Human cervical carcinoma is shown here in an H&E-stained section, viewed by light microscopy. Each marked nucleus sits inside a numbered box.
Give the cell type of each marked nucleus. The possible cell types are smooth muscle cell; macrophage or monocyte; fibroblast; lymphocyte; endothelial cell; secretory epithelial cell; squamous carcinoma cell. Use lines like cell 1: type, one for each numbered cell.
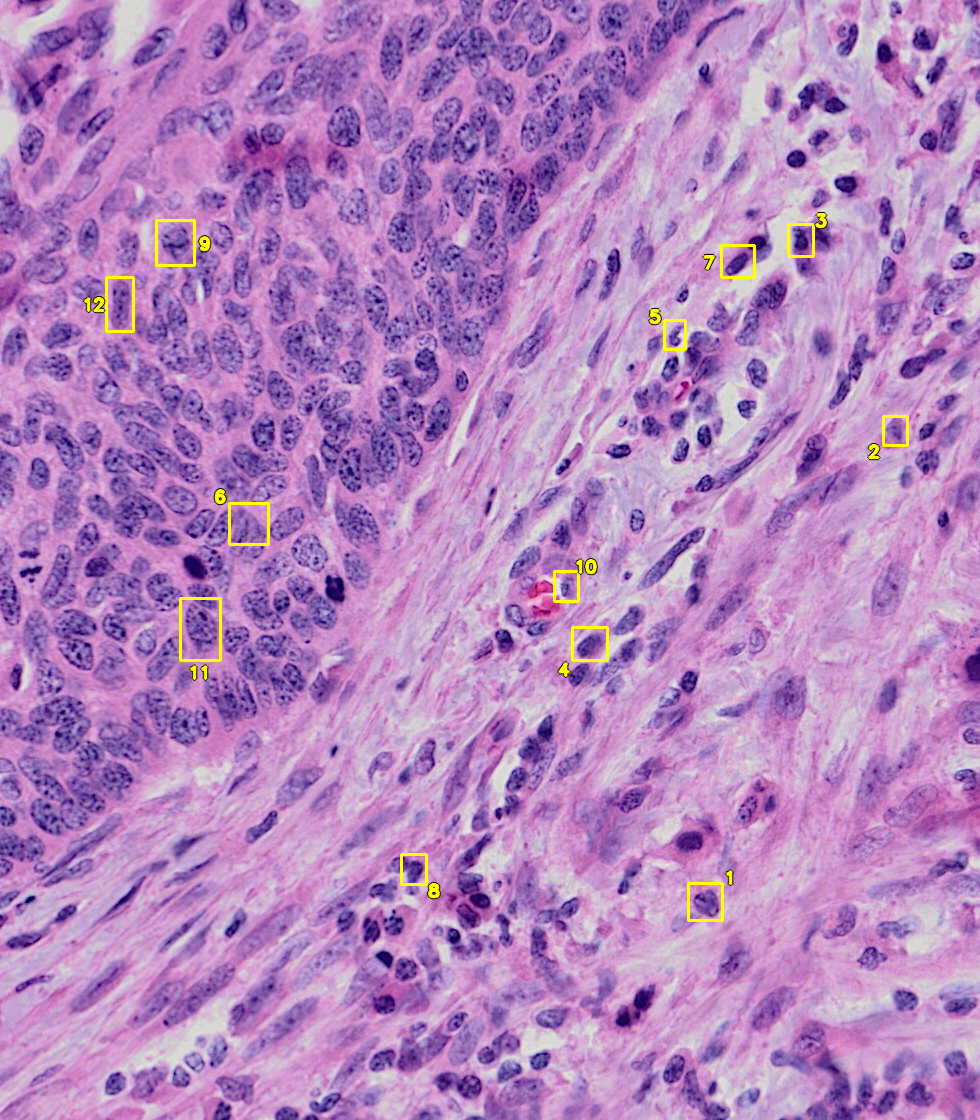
cell 1: lymphocyte
cell 2: macrophage or monocyte
cell 3: lymphocyte
cell 4: lymphocyte
cell 5: lymphocyte
cell 6: squamous carcinoma cell
cell 7: lymphocyte
cell 8: lymphocyte
cell 9: squamous carcinoma cell
cell 10: endothelial cell
cell 11: squamous carcinoma cell
cell 12: squamous carcinoma cell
